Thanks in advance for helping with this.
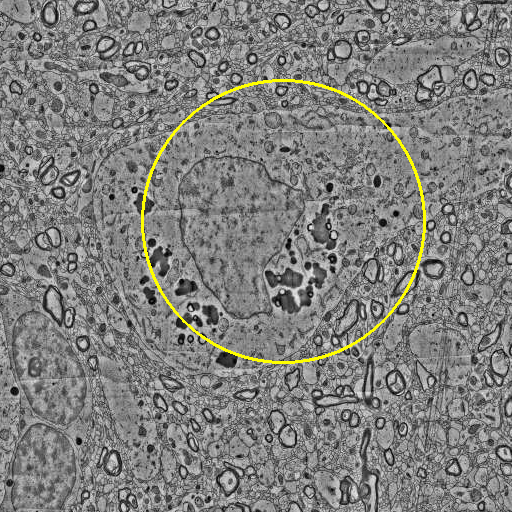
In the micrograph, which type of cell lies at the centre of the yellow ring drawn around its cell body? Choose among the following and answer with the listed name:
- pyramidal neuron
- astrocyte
pyramidal neuron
